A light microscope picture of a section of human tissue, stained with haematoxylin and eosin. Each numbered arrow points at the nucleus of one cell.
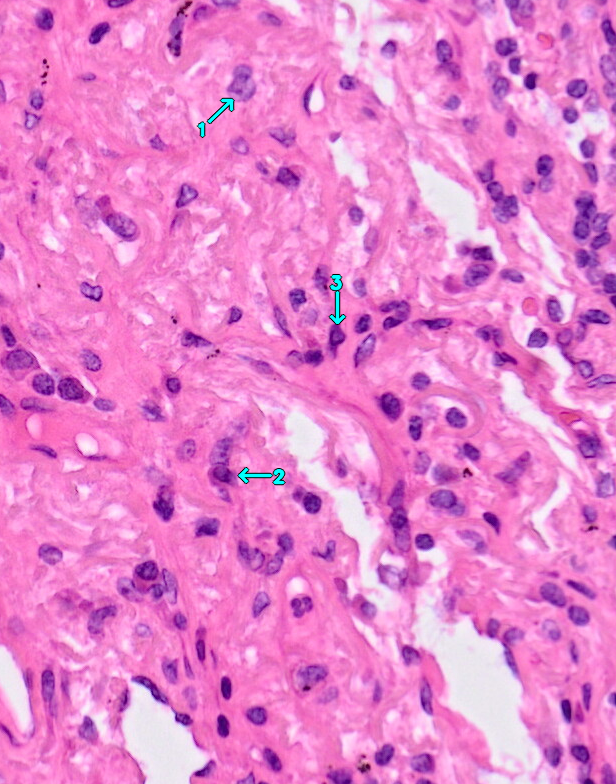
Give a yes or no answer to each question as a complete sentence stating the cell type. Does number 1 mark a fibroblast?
Yes, that is right: the cell labelled 1 is a fibroblast.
